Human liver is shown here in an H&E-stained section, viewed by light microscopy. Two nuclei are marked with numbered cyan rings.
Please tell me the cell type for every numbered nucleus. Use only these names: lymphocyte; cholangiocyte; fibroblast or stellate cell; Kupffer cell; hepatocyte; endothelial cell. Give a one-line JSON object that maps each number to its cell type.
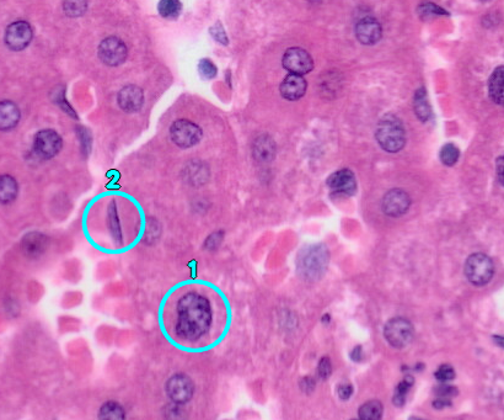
{"1": "hepatocyte", "2": "fibroblast or stellate cell"}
